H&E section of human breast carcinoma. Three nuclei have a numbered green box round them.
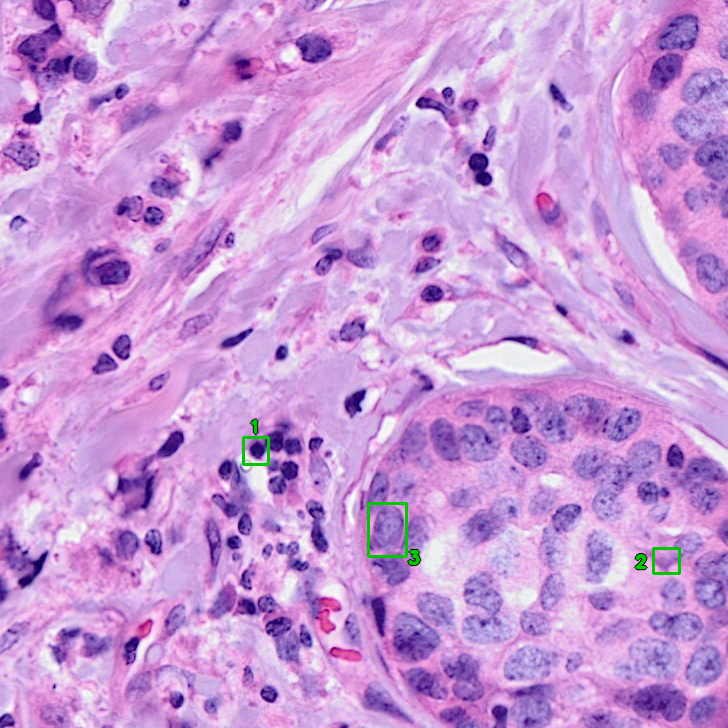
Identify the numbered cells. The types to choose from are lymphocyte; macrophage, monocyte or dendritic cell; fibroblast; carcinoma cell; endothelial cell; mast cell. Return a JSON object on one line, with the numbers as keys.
{"1": "lymphocyte", "2": "carcinoma cell", "3": "carcinoma cell"}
